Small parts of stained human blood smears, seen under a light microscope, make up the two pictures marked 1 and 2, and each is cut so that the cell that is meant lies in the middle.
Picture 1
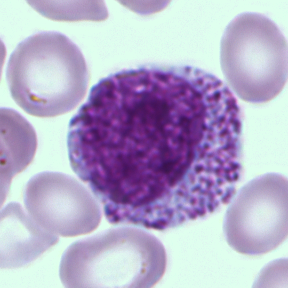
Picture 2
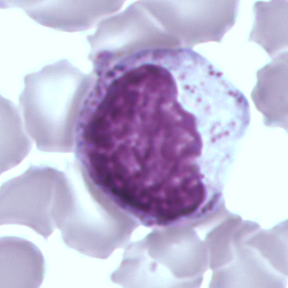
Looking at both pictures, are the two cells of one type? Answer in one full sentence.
Yes, the two pictures both show myelocytes.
